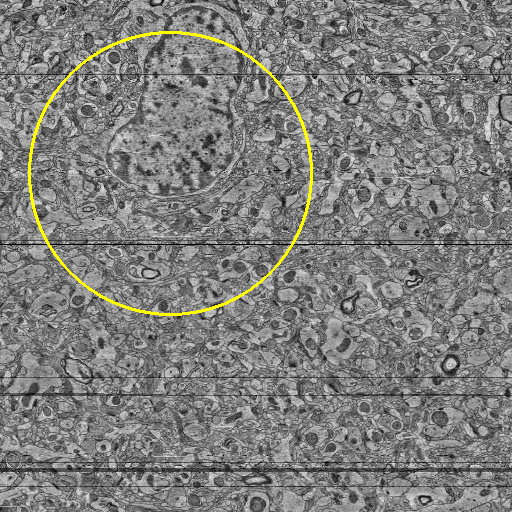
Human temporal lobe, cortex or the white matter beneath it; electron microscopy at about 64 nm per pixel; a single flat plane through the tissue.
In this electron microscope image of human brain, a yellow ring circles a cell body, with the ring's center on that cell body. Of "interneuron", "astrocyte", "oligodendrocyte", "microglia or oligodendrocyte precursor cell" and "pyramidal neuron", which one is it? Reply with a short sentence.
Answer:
It is a microglial cell or oligodendrocyte precursor cell at the center of the ring.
